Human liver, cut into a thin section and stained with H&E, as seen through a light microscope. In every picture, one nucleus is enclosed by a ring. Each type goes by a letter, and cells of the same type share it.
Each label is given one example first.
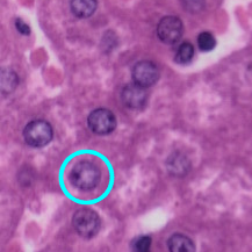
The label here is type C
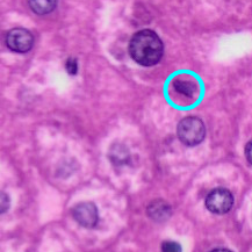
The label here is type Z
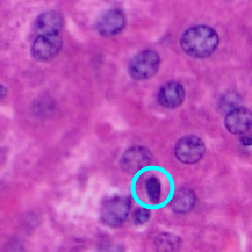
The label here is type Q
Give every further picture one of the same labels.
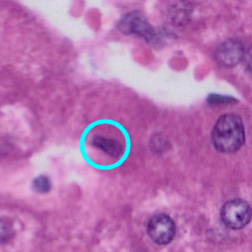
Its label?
type Z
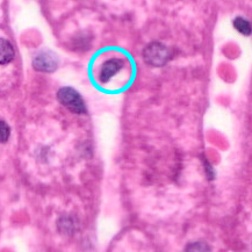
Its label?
type Q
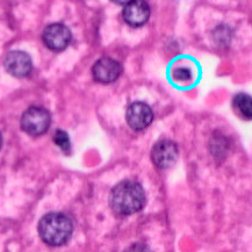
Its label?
type Q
